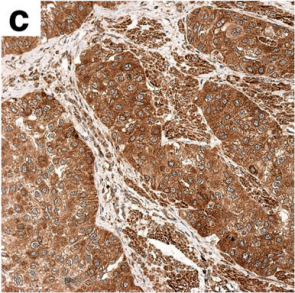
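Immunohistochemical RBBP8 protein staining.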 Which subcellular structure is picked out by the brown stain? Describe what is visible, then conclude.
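Brown stain fills the cell bodies of the large tumor cells. The round nuclei stand out pale blue against the brown.
Conclusion: cytoplasm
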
